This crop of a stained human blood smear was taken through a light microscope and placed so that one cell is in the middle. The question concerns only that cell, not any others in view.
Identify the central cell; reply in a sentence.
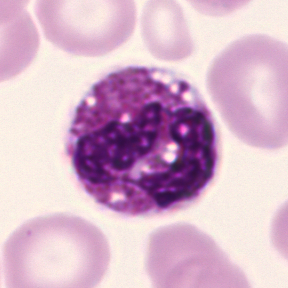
The cell around which this crop is centred is an eosinophil.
